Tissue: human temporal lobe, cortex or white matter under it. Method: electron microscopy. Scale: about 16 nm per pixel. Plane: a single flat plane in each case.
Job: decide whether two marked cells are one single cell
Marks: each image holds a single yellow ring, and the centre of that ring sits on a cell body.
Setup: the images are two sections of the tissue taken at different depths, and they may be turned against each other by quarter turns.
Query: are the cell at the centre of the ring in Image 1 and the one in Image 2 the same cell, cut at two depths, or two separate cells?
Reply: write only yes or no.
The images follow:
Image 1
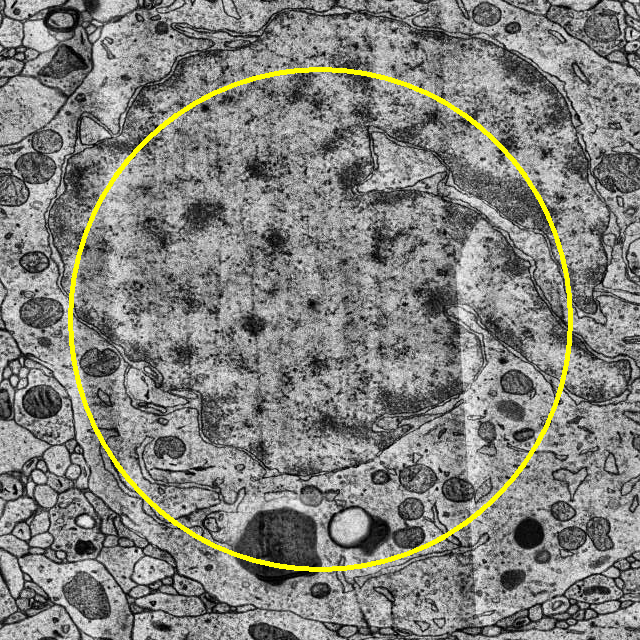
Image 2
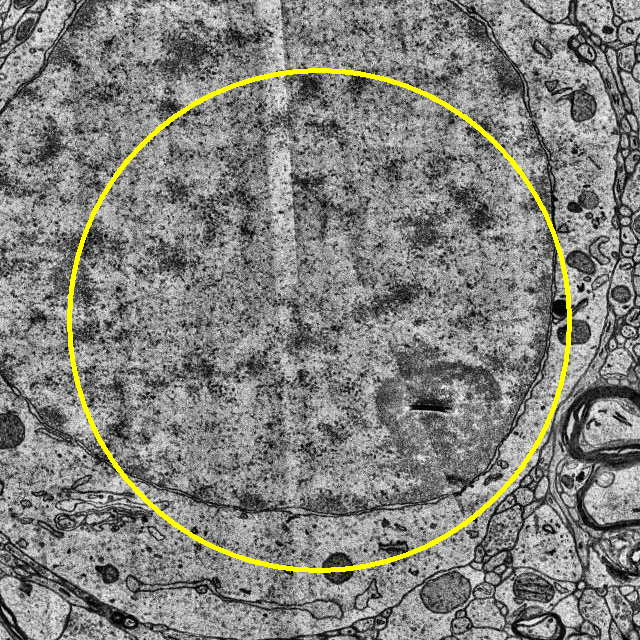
no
